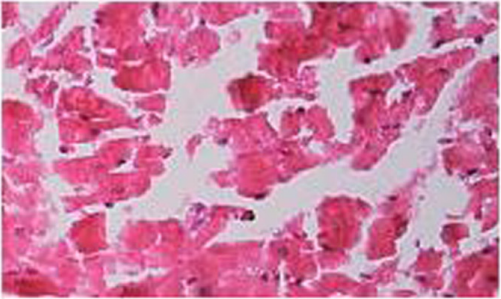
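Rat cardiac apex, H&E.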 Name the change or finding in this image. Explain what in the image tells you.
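Wide pale, empty spaces separate the muscle fibres. Muscle fibres lie as isolated clumps and fragments surrounded by clear space. So: increased edematous intramuscular space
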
